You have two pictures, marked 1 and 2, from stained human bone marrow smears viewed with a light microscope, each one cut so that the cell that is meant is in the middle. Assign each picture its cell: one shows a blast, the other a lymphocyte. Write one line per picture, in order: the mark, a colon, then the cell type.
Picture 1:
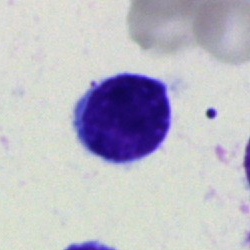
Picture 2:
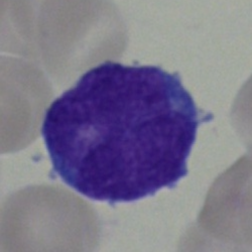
1: lymphocyte
2: blast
